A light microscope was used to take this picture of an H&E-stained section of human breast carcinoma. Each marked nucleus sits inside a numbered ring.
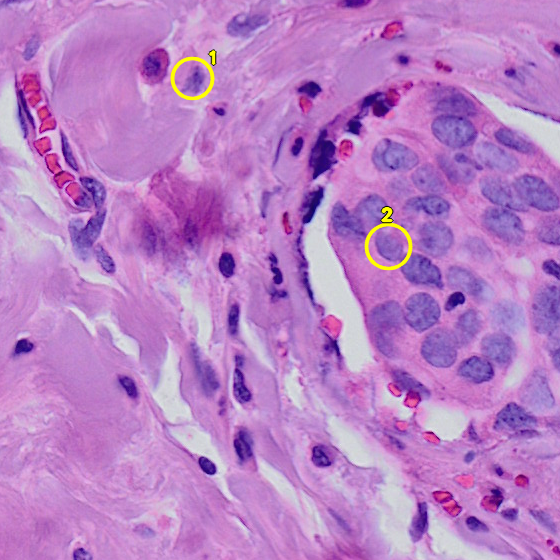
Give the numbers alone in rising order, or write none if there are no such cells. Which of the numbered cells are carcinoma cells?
2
